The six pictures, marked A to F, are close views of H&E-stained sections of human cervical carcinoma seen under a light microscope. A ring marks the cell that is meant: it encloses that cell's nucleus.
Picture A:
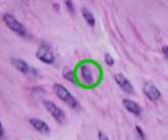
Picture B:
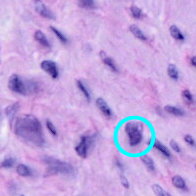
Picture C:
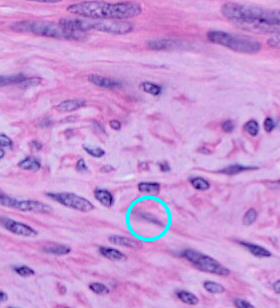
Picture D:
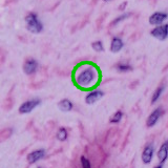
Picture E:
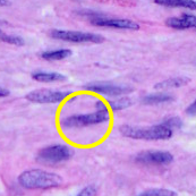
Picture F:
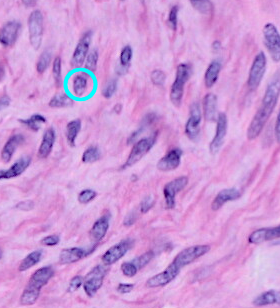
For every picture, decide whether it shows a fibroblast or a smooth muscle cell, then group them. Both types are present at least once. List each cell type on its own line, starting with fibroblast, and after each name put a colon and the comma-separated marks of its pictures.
fibroblast: B, E
smooth muscle cell: A, C, D, F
